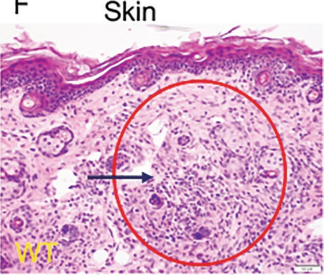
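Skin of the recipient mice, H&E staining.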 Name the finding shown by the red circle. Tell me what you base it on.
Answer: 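A large area inside the circle is crowded with small dark nuclei. Normal gland and follicle outlines are disrupted in the circled area. That points to this answer: increased inflammatory cells with destructed adnexal glands.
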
